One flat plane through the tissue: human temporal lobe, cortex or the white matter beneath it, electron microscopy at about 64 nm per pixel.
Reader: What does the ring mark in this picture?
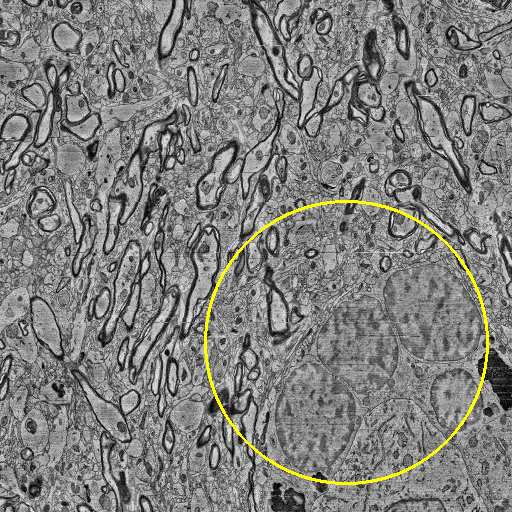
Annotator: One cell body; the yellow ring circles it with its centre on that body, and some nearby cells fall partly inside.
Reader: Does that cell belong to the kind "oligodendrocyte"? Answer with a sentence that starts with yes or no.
Yes, in this picture the ringed cell at the centre belongs to that kind.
